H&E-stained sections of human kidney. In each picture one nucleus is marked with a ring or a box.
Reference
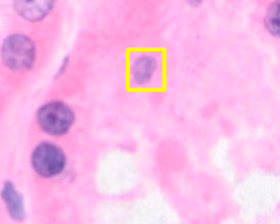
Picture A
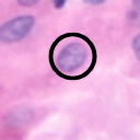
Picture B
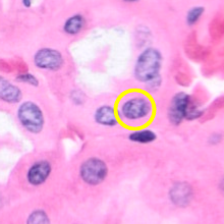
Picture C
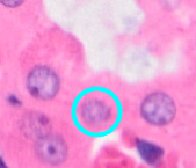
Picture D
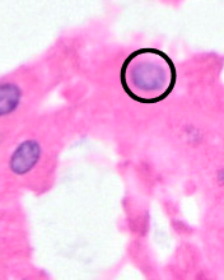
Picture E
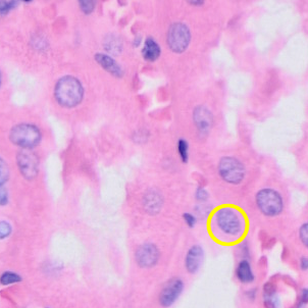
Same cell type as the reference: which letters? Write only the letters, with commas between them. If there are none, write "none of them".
A, C, D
